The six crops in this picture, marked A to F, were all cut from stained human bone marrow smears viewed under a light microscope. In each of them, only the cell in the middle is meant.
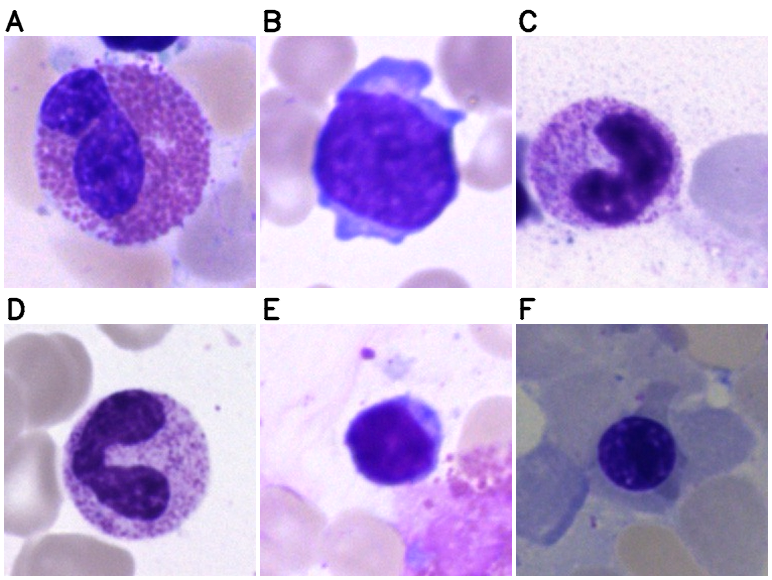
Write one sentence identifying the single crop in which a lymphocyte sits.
Crop E, and no other, shows a lymphocyte.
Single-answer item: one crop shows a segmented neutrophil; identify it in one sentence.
The crop bearing a segmented neutrophil is crop D.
